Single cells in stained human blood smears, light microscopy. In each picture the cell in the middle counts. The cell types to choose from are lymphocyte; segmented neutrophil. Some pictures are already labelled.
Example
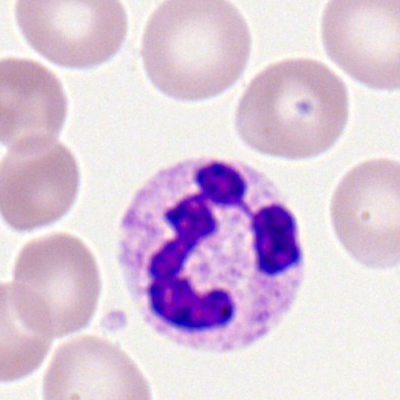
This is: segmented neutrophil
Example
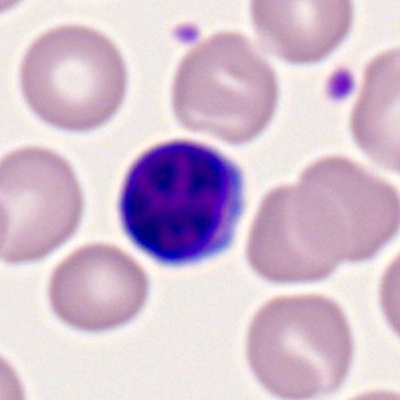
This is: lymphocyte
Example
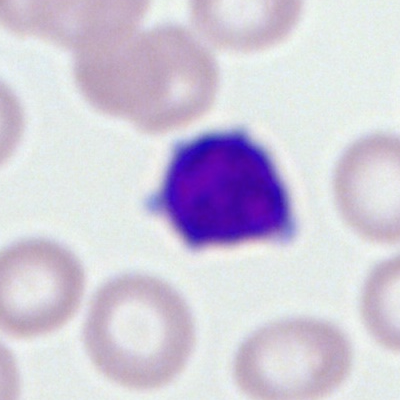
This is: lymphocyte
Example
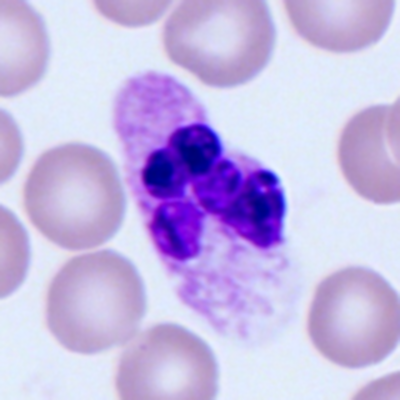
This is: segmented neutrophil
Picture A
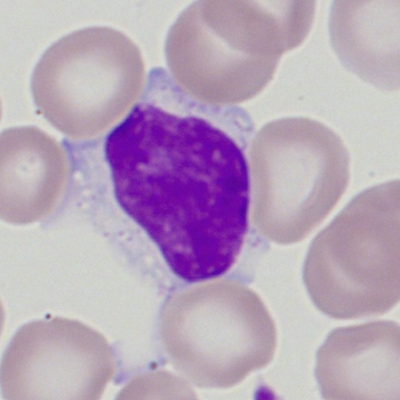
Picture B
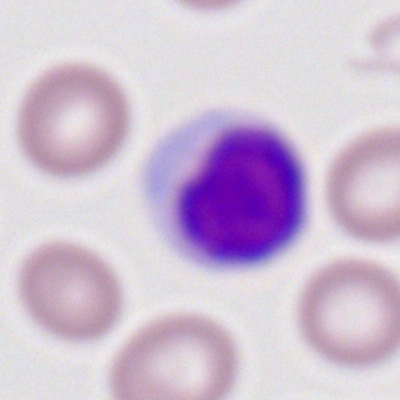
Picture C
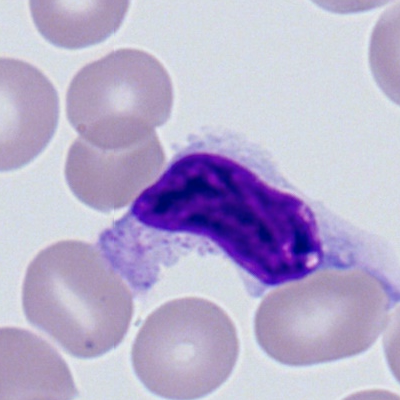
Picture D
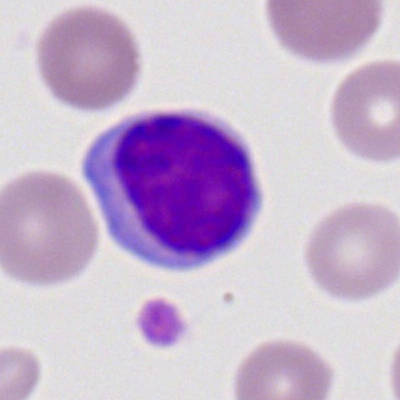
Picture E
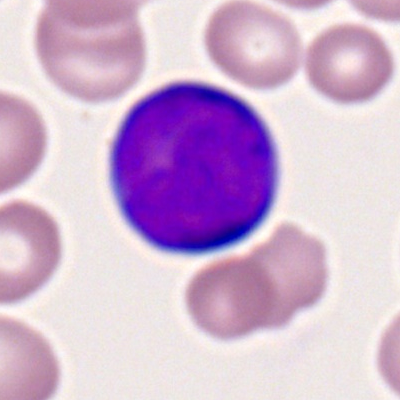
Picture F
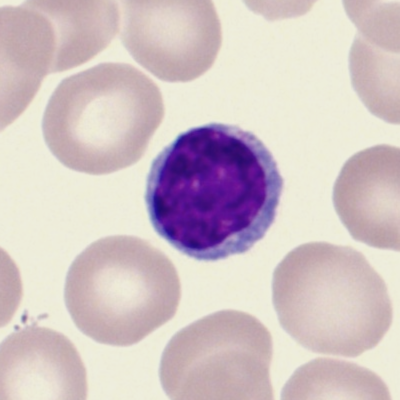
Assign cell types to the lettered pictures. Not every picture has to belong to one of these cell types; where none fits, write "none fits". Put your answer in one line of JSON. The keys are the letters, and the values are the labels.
{"A": "lymphocyte", "B": "lymphocyte", "C": "lymphocyte", "D": "lymphocyte", "E": "none fits", "F": "lymphocyte"}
